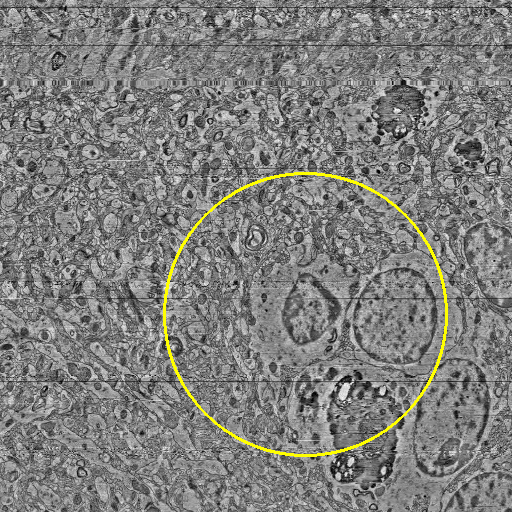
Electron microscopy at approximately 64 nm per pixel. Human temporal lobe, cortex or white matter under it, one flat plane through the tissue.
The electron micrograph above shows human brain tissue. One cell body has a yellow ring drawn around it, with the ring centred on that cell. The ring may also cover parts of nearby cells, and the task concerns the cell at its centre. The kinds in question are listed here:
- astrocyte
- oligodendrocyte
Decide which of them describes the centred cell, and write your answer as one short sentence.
The centred cell is an astrocyte.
